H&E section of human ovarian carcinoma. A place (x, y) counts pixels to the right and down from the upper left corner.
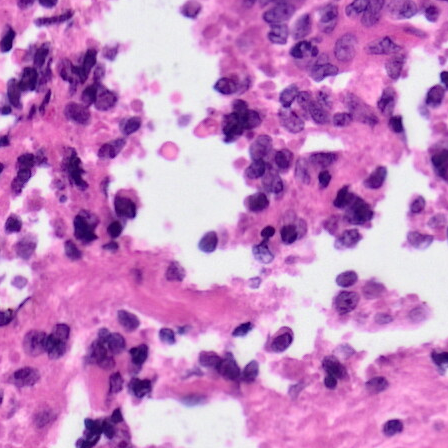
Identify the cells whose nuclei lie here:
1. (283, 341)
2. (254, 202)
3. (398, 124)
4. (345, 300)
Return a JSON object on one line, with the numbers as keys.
{"1": "carcinoma cell", "2": "carcinoma cell", "3": "carcinoma cell", "4": "macrophage or monocyte"}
